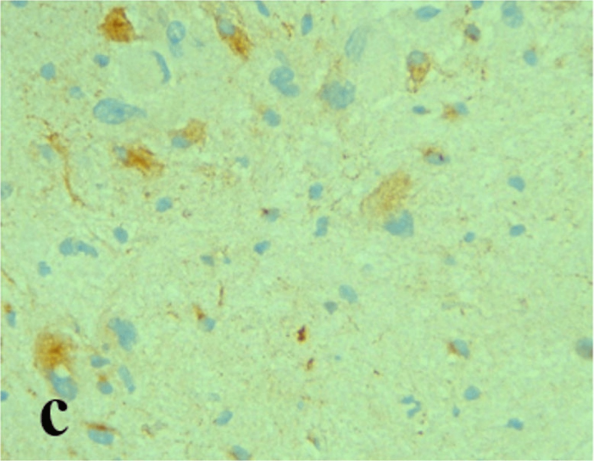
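Scattered ganglion cells stand out within a pale, finely fibrillary background. Their cell bodies are larger than the surrounding cells and show brown, granular staining of the cytoplasm, while their round nuclei stay blue. Staining is patchy, with only some large cells reactive. Many small, oval to elongated blue nuclei are dispersed through the fibrillary matrix, with a few fine brown dots and threads between them.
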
